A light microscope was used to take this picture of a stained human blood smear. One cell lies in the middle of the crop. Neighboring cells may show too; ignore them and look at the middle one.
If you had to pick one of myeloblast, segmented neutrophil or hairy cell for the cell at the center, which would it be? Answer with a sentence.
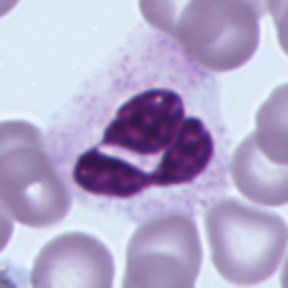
Located at the centre of the crop is a segmented neutrophil.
